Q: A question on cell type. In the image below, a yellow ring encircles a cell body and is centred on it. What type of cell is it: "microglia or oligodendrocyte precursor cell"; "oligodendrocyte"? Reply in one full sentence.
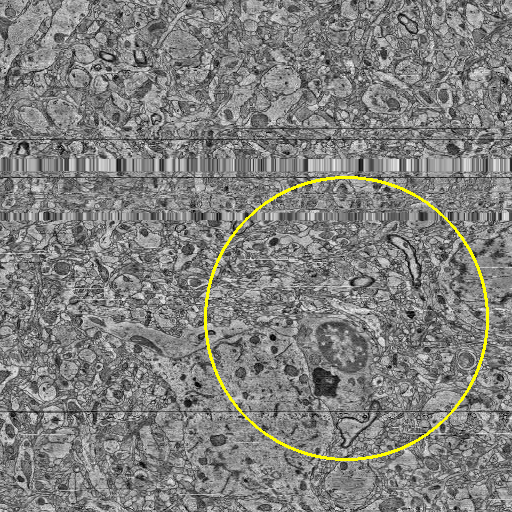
It is an oligodendrocyte whose cell body sits at the centre of the yellow ring in the image.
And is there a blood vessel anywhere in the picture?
No, the image shows no blood vessel.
